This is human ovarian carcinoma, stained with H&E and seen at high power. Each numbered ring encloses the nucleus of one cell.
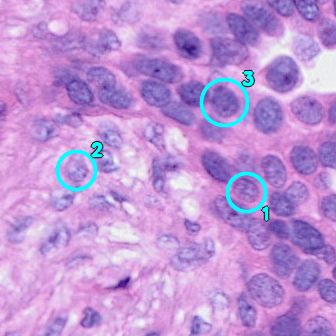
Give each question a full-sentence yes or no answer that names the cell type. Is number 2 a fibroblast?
Yes, the cell bearing the number 2 is a fibroblast.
